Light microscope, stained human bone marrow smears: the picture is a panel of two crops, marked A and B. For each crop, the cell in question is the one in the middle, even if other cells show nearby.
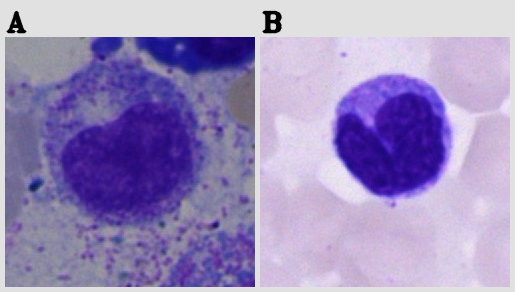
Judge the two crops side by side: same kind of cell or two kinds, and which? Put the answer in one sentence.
No, crop A represents a metamyelocyte, and crop B represents a monocyte.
